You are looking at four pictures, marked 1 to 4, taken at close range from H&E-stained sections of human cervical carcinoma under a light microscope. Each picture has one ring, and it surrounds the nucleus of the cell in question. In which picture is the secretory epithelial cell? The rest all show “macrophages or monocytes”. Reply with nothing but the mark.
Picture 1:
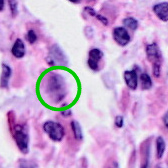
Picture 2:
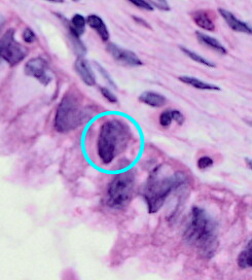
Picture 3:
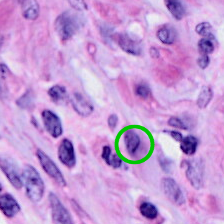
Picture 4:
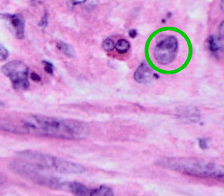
2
